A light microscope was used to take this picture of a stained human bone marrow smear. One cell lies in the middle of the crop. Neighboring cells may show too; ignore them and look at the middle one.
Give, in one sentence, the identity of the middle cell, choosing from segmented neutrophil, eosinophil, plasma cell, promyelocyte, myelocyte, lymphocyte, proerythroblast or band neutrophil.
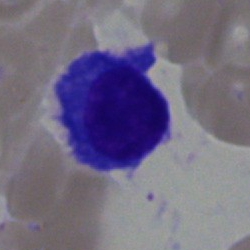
This crop is built around a plasma cell at its centre.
